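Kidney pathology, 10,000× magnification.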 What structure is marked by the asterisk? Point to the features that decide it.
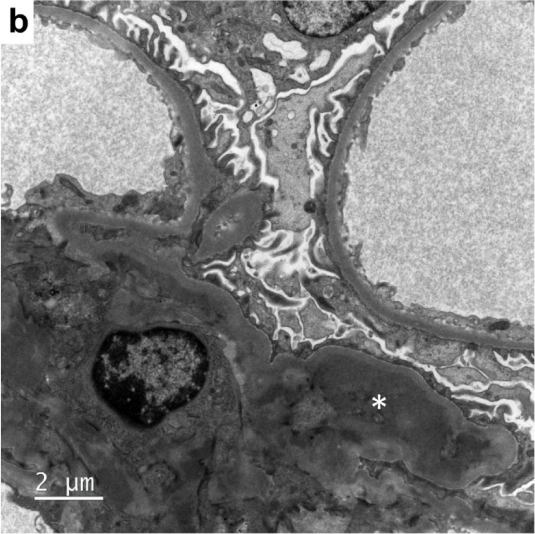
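A smooth, homogeneous dark grey amorphous mass lies in the matrix between capillaries. It lacks organelles and differs in texture from the neighbouring cytoplasm. On this evidence: mesangial electron-dense deposits.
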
